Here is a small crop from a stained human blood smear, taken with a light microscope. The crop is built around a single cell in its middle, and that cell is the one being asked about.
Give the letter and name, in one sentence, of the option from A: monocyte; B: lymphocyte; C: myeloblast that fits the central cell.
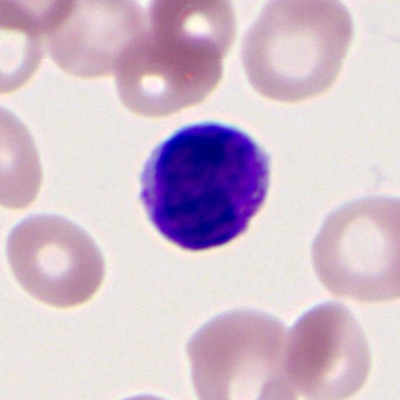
Option B is the right choice, the central cell being a lymphocyte.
